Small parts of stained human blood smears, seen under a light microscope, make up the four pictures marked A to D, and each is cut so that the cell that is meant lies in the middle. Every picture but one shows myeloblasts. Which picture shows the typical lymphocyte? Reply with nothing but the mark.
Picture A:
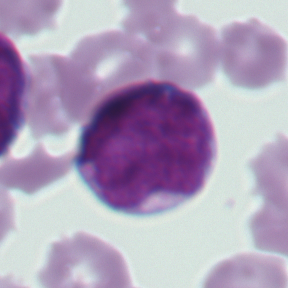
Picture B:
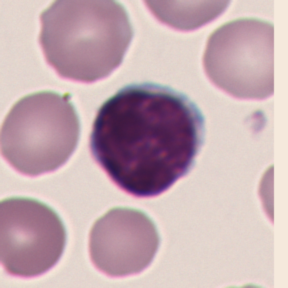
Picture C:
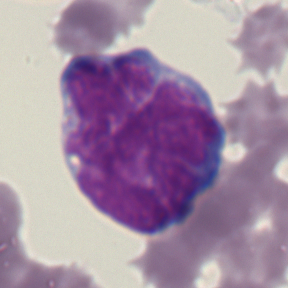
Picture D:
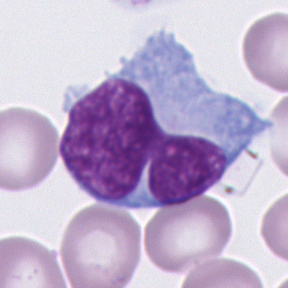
B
